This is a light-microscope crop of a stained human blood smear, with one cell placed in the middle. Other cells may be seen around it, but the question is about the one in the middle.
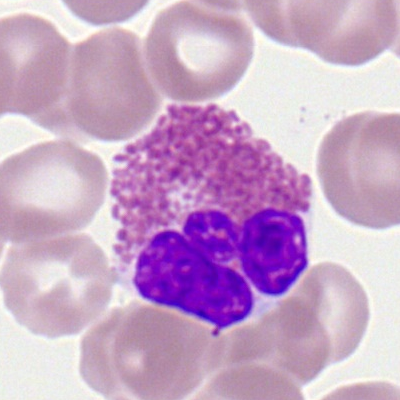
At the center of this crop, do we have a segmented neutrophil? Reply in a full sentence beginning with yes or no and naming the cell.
No, mark the middle cell as an eosinophil, not a segmented neutrophil.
